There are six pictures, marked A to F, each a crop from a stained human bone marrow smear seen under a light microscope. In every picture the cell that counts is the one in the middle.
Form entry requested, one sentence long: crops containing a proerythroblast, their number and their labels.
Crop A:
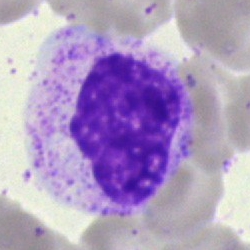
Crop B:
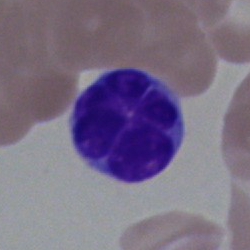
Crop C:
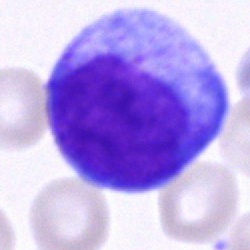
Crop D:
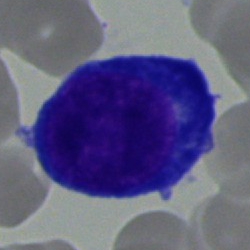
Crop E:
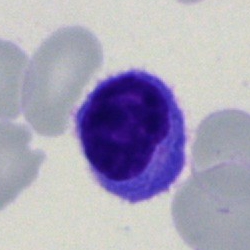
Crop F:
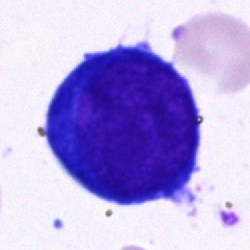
In this set, proerythroblasts are shown by two crops, D and F.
